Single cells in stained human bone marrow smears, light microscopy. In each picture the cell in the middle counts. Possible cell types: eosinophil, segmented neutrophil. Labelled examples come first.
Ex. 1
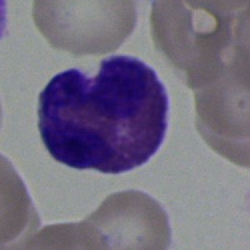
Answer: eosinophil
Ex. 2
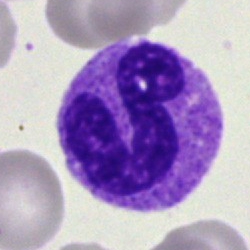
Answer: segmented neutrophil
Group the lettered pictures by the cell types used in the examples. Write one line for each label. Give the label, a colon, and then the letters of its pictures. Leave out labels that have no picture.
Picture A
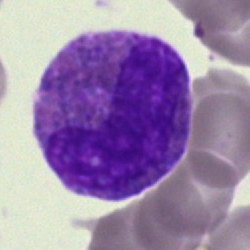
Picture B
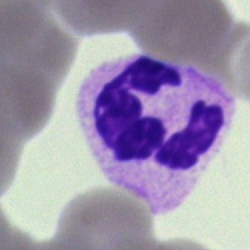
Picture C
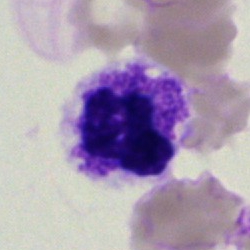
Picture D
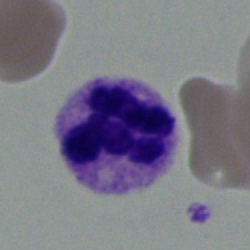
eosinophil: A
segmented neutrophil: B, C, D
